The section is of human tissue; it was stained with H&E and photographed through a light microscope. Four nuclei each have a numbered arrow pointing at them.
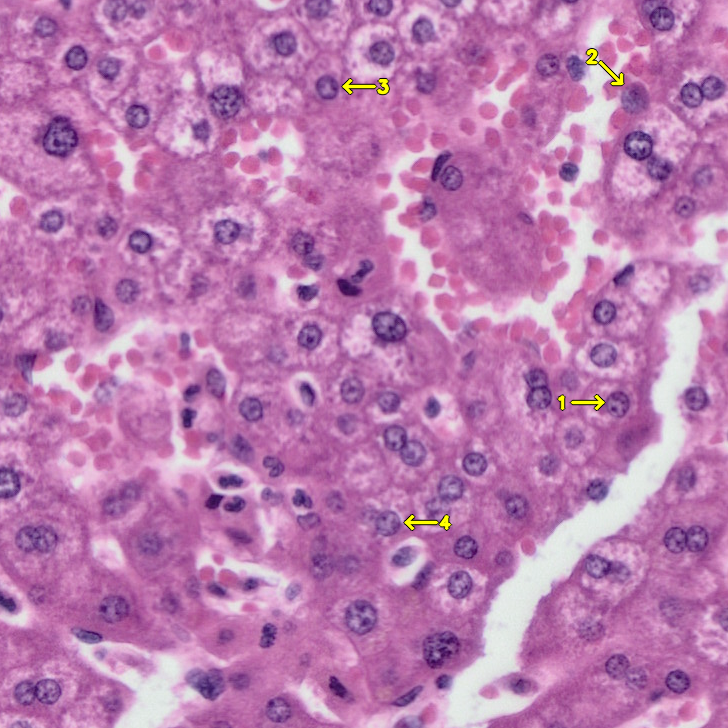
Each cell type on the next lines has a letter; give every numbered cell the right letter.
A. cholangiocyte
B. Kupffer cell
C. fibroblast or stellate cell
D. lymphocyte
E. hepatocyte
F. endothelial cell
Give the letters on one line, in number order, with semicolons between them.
E; F; E; E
